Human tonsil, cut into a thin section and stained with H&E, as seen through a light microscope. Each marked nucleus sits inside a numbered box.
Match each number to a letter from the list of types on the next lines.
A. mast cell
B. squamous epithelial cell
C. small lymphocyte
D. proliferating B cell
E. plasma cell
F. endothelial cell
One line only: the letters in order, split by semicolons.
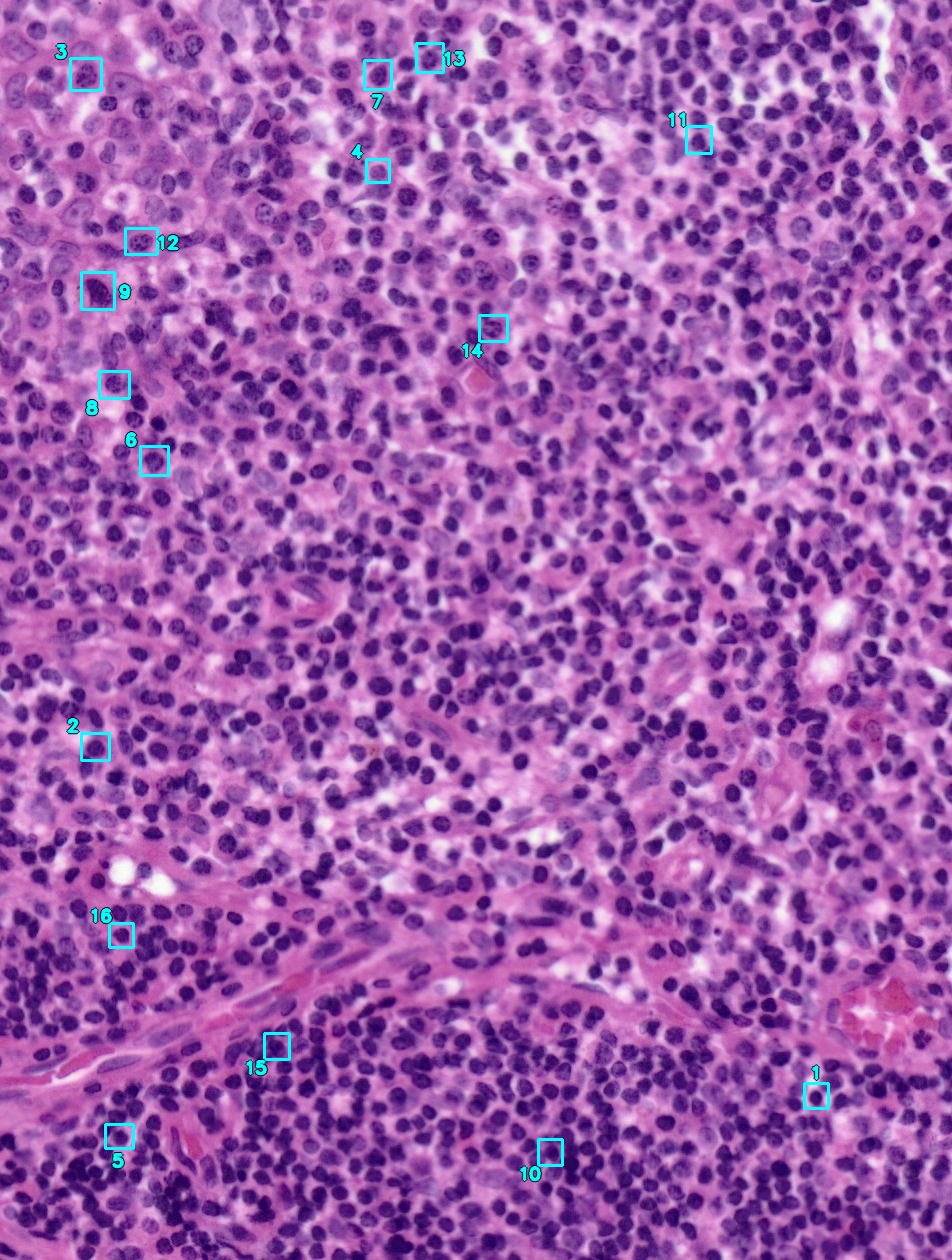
C; E; E; E; C; E; E; E; B; C; C; E; E; E; C; C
